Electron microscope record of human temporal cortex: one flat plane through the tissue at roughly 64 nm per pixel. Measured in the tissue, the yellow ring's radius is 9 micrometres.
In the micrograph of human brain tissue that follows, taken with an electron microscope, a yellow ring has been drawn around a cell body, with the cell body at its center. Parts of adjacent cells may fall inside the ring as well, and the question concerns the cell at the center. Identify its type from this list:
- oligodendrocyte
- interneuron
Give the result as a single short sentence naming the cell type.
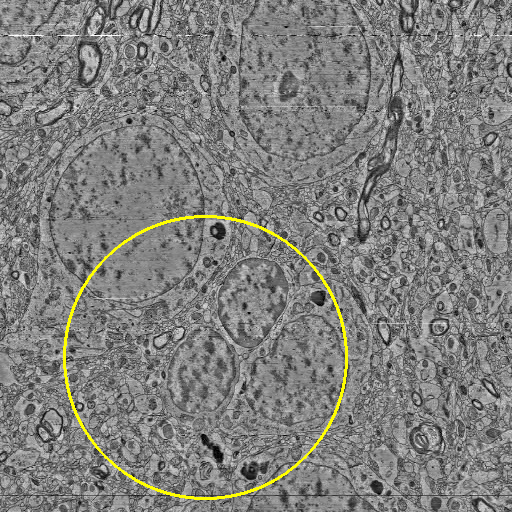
The ring is centered on an oligodendrocyte.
